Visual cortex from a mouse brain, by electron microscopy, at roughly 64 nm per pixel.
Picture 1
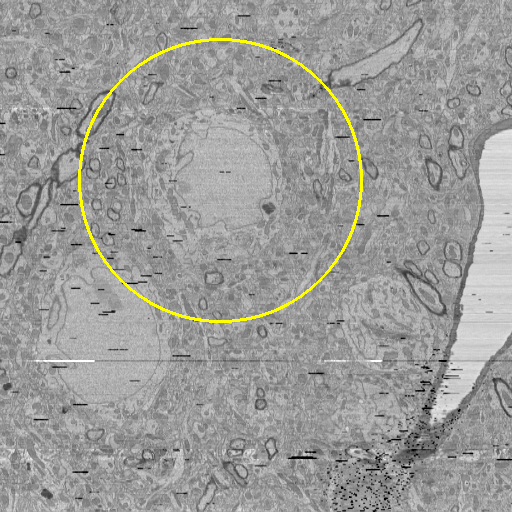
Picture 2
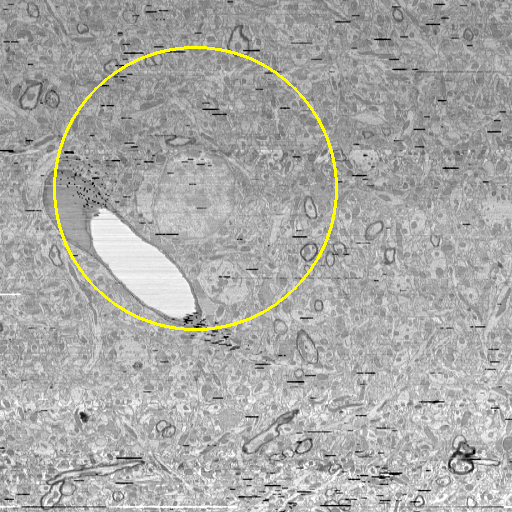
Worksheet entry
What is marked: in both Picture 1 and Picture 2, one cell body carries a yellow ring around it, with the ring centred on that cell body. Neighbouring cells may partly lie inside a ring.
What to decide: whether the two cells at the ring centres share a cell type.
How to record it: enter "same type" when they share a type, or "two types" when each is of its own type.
two types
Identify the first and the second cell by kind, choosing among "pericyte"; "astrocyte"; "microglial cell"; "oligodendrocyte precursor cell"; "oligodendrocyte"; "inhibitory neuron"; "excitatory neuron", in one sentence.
The one in the first picture is an excitatory neuron, while the one in the second is an oligodendrocyte.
